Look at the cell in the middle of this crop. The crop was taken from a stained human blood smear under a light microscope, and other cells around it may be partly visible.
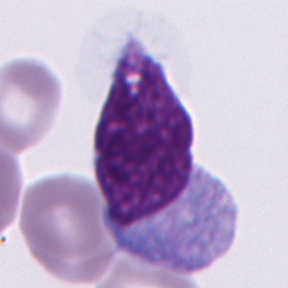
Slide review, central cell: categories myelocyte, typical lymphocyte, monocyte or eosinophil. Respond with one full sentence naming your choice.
This crop has a monocyte at its centre.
